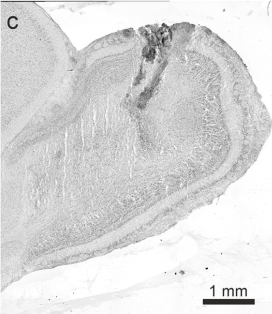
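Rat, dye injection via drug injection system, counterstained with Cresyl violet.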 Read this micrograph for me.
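A low-power section of a rounded, layered structure, the olfactory bulb. At the centre is a streaky, fibrous core. The layers run parallel to the surface like shells, which is the typical laminar build of this part of the forebrain. Near the top, a dark, irregular deposit reaches down into the tissue as a track. Brain tissue that is not part of the bulb lies at the upper left.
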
